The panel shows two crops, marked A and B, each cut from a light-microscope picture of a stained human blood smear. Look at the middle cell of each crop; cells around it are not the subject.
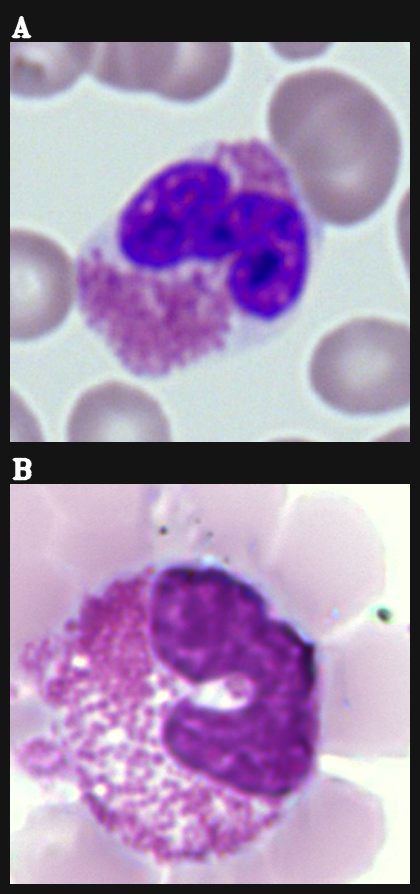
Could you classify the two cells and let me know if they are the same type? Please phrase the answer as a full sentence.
Yes, the two crops share the same answer, eosinophils.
